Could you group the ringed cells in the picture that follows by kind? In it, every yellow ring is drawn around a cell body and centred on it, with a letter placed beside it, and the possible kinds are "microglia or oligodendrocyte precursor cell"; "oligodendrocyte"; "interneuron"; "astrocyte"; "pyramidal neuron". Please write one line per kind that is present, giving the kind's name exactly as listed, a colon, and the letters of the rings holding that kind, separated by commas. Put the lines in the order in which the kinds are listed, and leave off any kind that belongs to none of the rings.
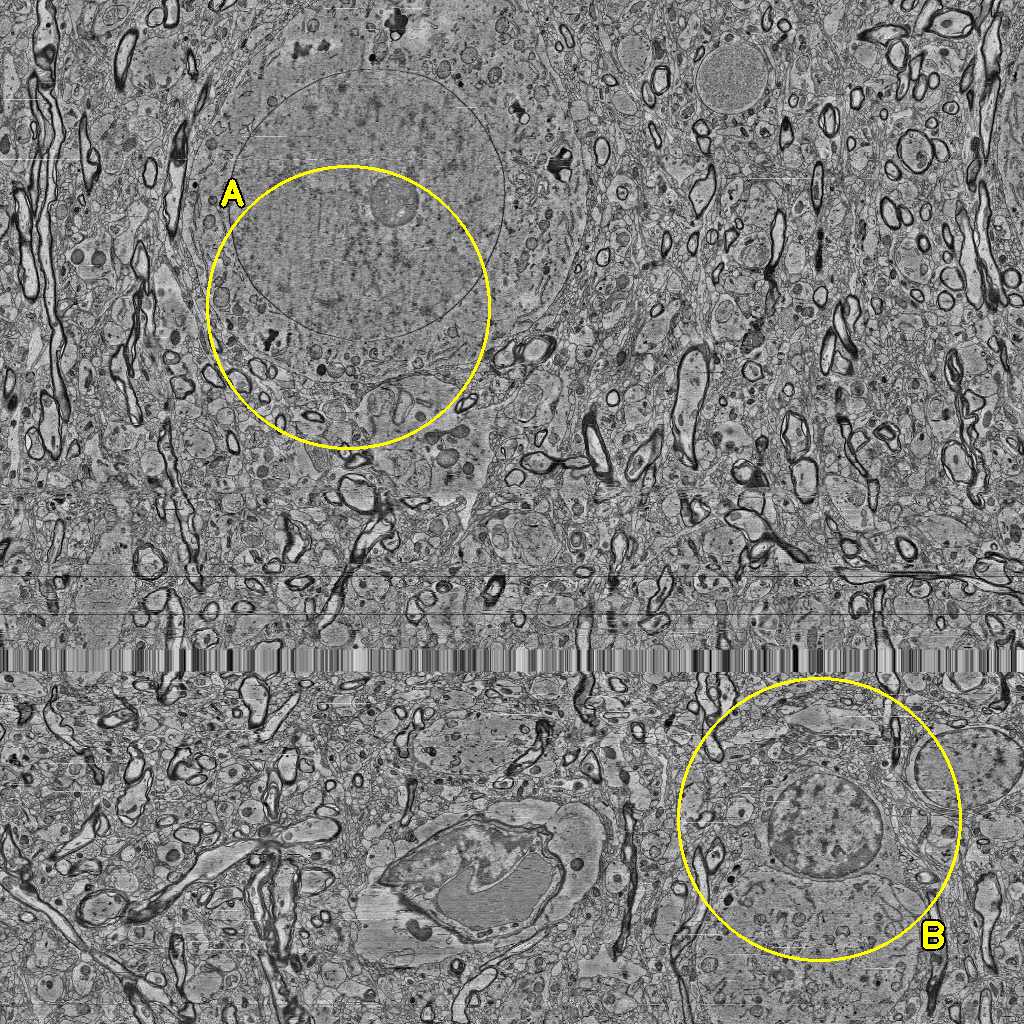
oligodendrocyte: B
pyramidal neuron: A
